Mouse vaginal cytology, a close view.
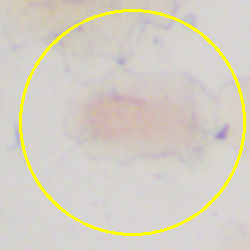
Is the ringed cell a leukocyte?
No, it is a cornified epithelial cell.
